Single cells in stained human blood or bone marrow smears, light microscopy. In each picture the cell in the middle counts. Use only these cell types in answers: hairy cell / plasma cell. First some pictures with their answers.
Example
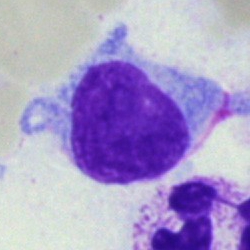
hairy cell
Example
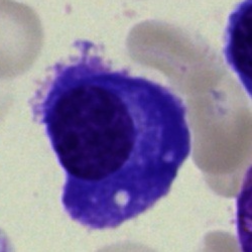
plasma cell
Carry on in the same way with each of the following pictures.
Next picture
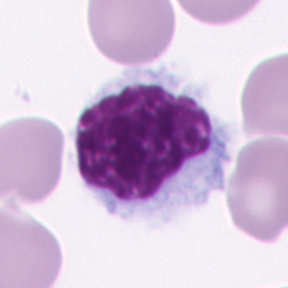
hairy cell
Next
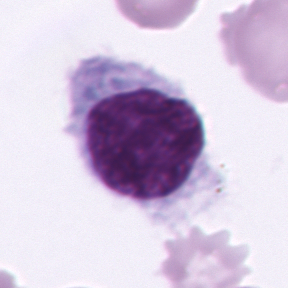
hairy cell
